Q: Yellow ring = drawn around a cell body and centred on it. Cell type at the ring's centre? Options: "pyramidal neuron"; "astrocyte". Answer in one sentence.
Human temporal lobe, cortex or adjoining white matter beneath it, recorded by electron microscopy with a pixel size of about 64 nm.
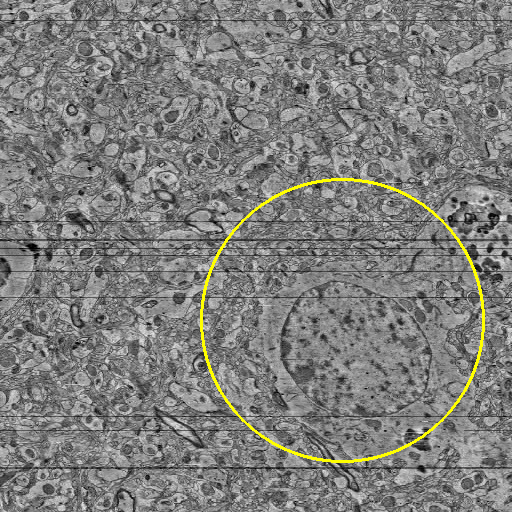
Centred in the ring is an astrocyte.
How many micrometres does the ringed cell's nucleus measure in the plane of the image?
In this plane the nucleus spans approximately 10 by 8 micrometers.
